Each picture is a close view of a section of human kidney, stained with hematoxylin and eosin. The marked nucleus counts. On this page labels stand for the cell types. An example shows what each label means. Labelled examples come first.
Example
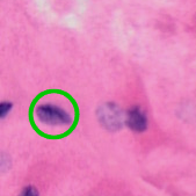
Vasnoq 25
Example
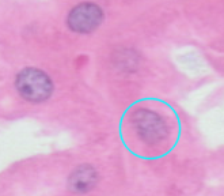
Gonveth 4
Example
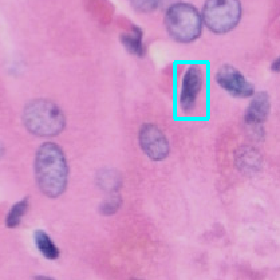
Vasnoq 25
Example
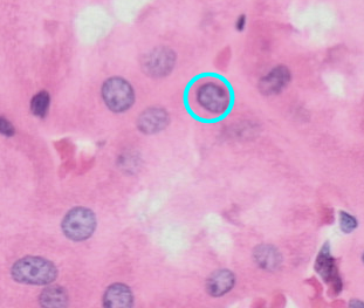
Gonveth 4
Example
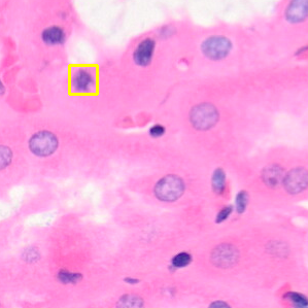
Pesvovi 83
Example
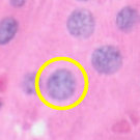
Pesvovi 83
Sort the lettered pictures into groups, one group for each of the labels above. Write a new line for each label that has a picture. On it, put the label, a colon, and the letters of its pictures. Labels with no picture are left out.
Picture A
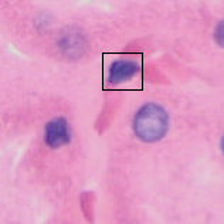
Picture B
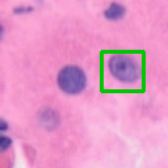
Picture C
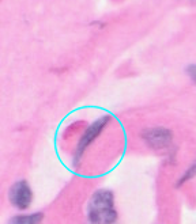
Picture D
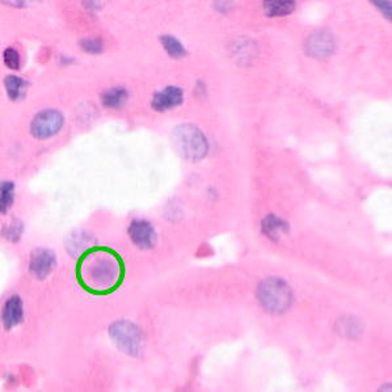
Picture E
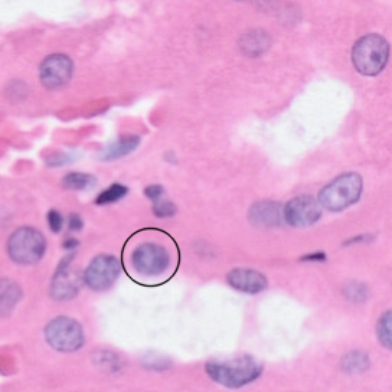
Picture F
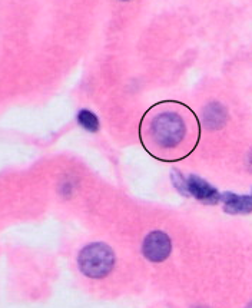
Vasnoq 25: A, C
Gonveth 4: B, F
Pesvovi 83: D, E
